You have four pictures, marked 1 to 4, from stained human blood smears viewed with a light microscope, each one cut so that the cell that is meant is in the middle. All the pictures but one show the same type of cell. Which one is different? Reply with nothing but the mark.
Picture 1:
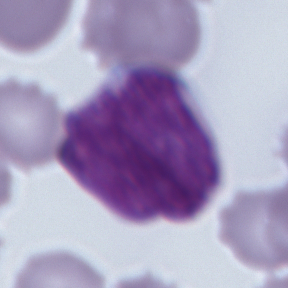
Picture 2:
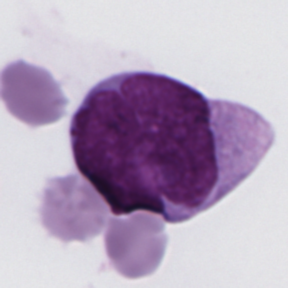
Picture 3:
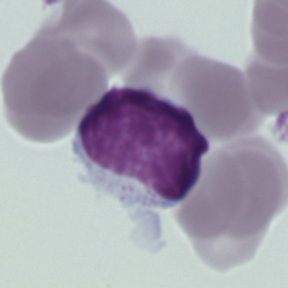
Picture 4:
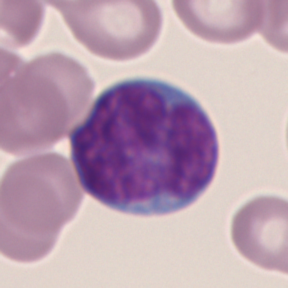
3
